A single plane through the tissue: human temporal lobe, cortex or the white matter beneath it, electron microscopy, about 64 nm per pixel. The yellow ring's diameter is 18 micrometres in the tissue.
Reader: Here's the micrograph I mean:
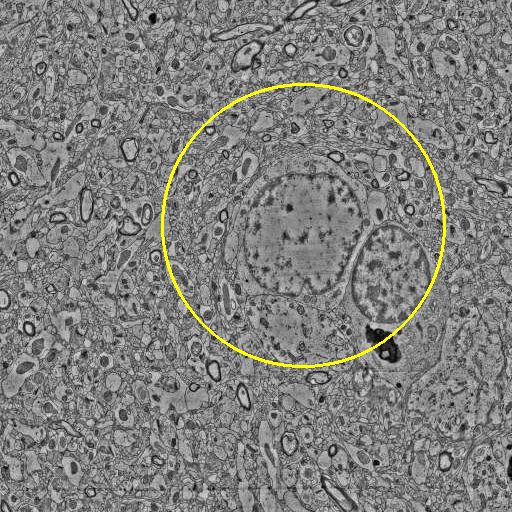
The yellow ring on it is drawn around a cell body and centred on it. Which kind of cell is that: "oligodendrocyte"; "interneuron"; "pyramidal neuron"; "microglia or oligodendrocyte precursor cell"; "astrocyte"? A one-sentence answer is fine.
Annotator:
The ring is centred on an interneuron.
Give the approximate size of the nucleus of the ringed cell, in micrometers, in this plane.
Approximately 8 by 7 micrometers in this plane.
